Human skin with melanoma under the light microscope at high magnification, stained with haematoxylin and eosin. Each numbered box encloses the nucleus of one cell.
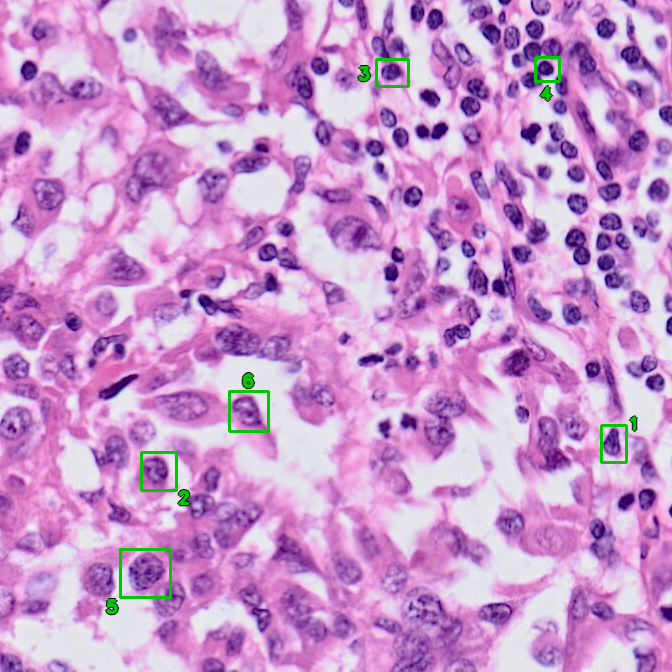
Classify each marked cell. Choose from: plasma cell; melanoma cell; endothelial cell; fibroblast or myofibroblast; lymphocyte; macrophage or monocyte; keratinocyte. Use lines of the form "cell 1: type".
cell 1: lymphocyte
cell 2: melanoma cell
cell 3: lymphocyte
cell 4: lymphocyte
cell 5: melanoma cell
cell 6: melanoma cell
